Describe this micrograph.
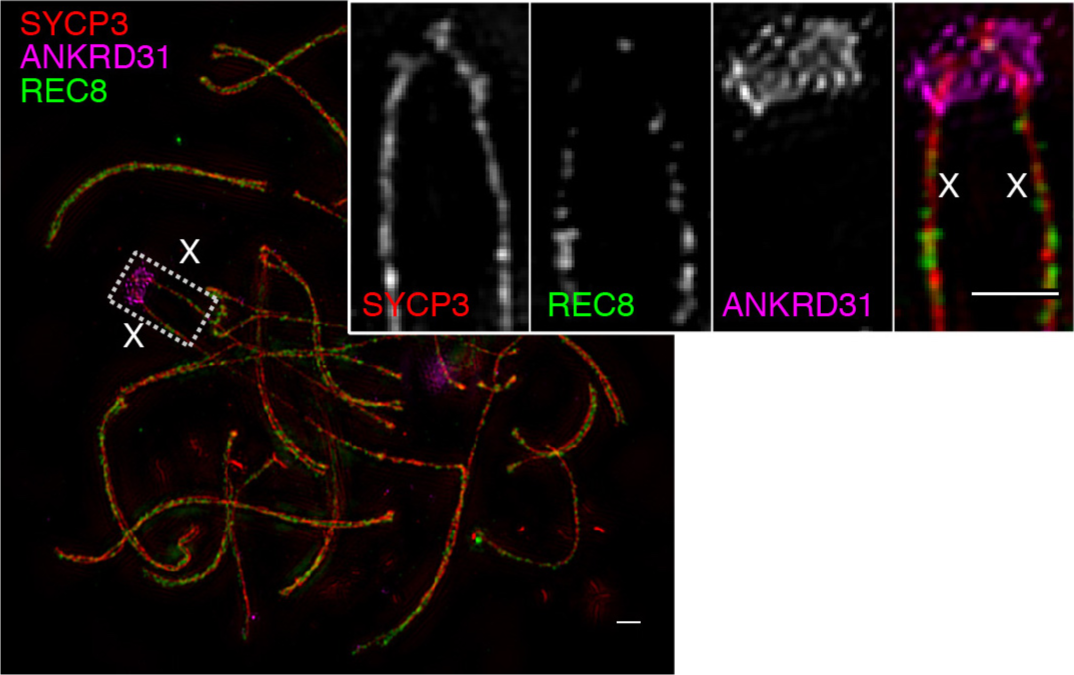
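Long chromosome axes wind across the field as red threads dotted with green beads along their length. Many of the axes lie in pairs closely aligned with each other. In the boxed region and its enlargement, two separate axes run roughly parallel and converge at their ends on a patchy magenta cloud. The green beads along these two axes look no denser near their ends than elsewhere.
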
